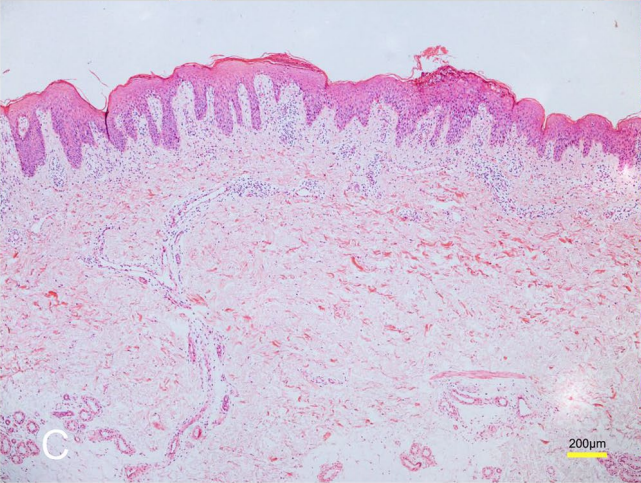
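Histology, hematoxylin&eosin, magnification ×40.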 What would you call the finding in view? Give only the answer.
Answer: Epidermal psoriasiform hyperplasia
